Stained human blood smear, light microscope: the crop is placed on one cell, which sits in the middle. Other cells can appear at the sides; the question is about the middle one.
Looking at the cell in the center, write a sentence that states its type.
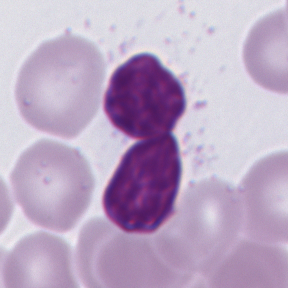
The cell at the centre of the field is a smudge cell.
